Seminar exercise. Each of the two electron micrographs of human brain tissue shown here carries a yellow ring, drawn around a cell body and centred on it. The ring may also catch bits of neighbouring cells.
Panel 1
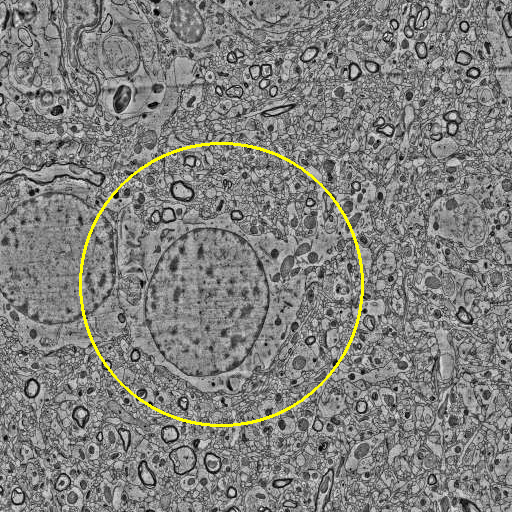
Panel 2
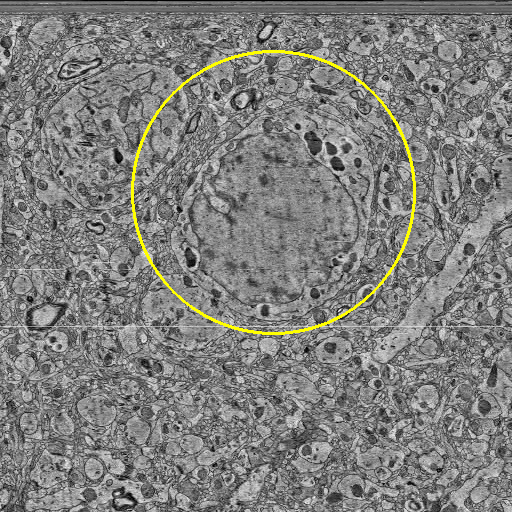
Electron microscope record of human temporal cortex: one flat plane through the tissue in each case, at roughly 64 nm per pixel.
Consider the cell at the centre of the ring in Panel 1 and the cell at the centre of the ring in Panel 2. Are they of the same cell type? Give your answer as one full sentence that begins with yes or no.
No, the two cells are of two types.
